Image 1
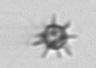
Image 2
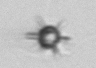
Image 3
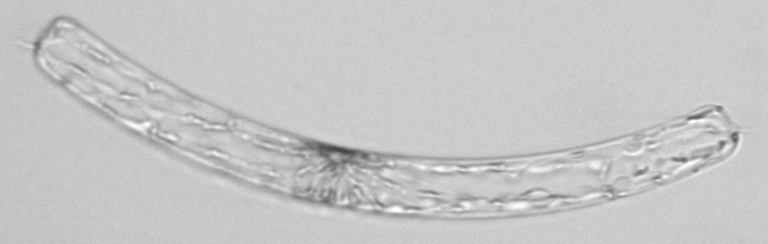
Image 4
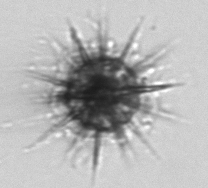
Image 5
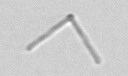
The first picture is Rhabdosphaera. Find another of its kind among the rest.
Picture 2.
